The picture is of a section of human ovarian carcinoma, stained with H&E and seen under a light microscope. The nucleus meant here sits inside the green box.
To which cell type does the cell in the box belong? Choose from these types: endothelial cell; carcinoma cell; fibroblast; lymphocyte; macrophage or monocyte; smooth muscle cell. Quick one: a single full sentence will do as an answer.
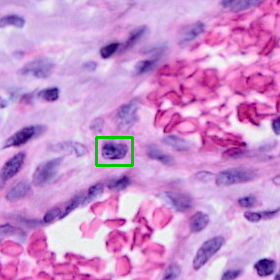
Students should answer that the cell in the box is a lymphocyte.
